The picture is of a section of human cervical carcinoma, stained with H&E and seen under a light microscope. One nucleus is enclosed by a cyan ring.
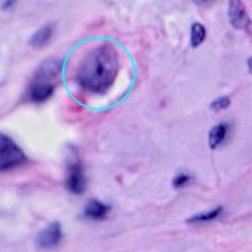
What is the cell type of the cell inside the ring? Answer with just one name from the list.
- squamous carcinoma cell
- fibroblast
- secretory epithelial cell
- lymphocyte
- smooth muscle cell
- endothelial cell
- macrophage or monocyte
endothelial cell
